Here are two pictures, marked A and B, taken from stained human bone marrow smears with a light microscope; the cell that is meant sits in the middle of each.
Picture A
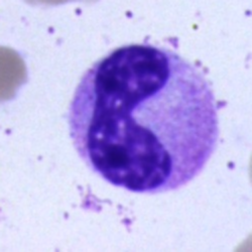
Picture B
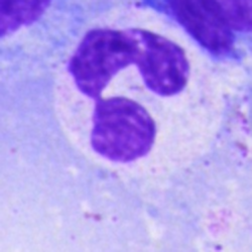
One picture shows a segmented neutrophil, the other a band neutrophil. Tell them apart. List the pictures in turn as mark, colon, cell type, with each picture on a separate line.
A: band neutrophil
B: segmented neutrophil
